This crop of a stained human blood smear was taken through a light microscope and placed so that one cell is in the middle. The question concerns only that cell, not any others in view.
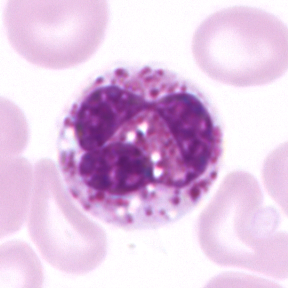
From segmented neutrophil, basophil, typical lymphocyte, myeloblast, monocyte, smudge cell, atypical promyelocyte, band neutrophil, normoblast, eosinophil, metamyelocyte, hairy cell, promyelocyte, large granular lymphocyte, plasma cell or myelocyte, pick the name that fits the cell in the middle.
eosinophil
